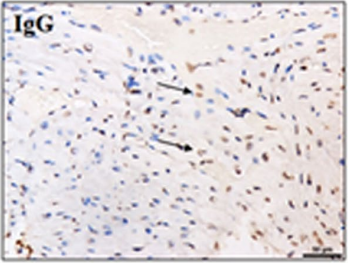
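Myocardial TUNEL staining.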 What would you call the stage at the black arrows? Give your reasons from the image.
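The arrows point to nuclei stained brown rather than blue. Many brown-stained nuclei are scattered among the muscle fibres.
Hence: apoptotic cells.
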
